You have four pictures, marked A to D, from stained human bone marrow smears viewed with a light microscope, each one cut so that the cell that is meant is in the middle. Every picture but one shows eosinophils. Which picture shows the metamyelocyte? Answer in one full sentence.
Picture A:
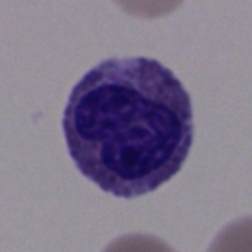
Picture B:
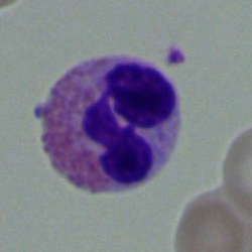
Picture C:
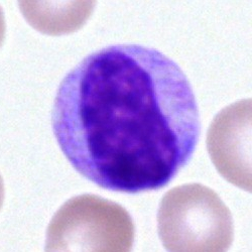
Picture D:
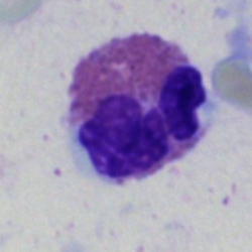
Picture C shows the metamyelocyte.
